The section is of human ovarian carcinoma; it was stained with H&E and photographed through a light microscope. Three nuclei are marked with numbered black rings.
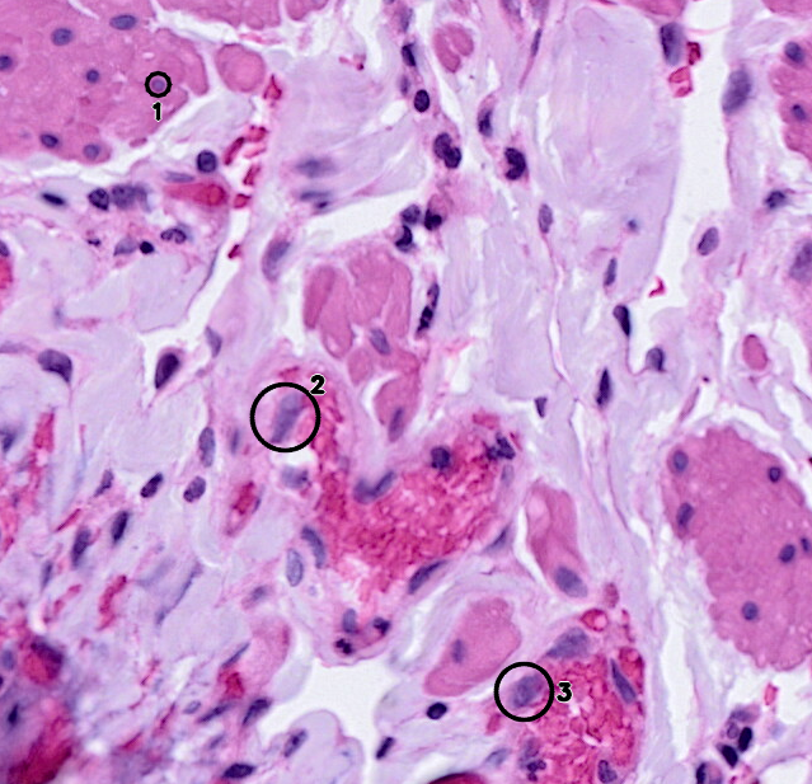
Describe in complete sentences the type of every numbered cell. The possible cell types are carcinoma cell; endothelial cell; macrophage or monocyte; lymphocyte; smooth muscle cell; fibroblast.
Cell 1 is a smooth muscle cell, cell 2 is an endothelial cell and cell 3 is an endothelial cell.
